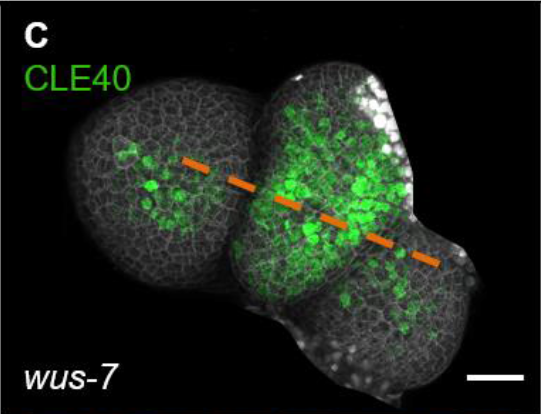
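A shoot apex seen from above, with a central dome flanked by rounded bulges, all built of small polygonal cells whose outlines show in grey. Green nuclei are packed across the central dome, and fewer lie in the middle of the flanking bulges.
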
